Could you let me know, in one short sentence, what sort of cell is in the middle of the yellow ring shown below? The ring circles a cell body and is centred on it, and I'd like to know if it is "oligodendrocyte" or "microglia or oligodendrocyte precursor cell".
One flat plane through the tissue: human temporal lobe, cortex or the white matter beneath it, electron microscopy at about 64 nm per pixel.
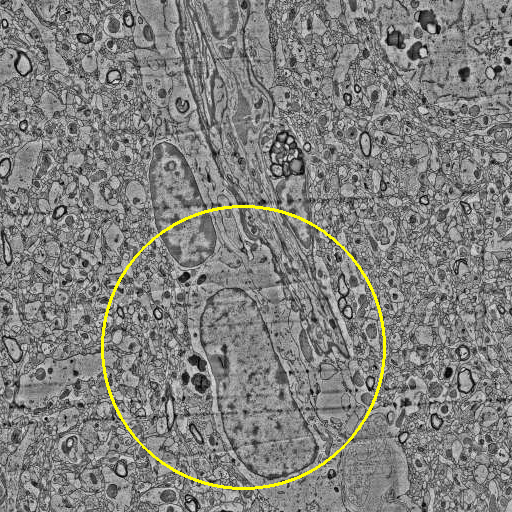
The ring circles the cell body of a microglial cell or oligodendrocyte precursor cell.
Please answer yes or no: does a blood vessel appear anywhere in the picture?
Yes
